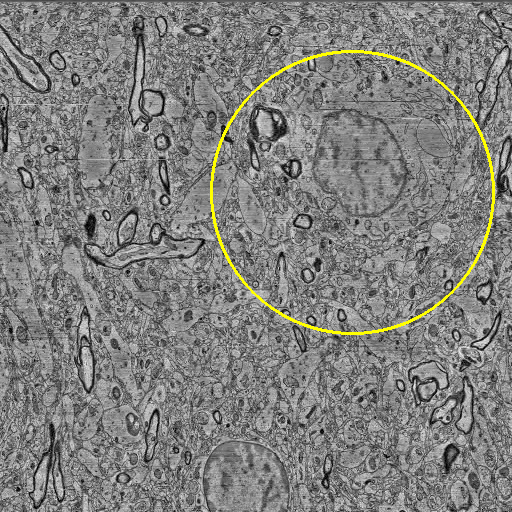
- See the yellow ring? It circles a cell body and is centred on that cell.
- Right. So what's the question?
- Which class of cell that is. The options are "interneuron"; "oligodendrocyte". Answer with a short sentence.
The centre of the ring holds an interneuron.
